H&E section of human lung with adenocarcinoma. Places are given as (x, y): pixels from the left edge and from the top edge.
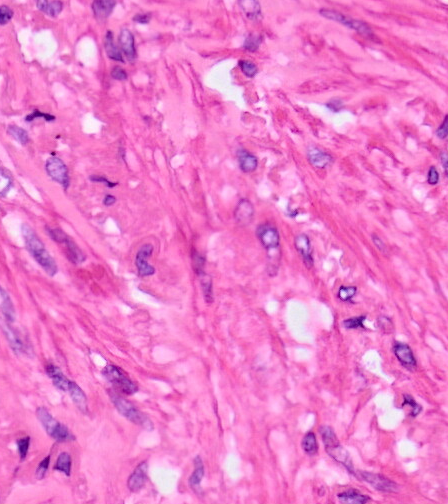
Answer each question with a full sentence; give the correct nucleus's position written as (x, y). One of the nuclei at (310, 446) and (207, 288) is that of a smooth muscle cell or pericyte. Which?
The nucleus of a smooth muscle cell or pericyte is the one found at (207, 288), not the other.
